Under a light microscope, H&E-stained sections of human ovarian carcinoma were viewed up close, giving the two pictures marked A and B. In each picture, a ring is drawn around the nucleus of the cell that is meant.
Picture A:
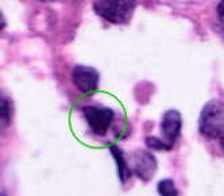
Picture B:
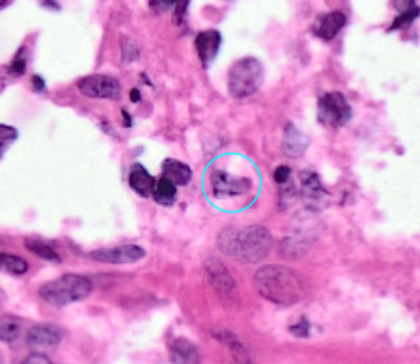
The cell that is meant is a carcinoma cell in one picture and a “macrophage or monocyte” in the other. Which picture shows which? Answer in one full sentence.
In picture A the cell is a carcinoma cell; in picture B, a “macrophage or monocyte”.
